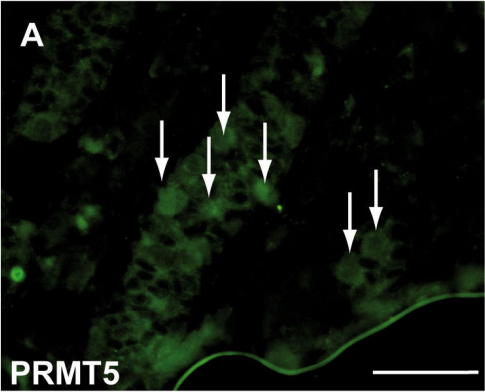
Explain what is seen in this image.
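Darker, weakly labelled areas separate the cell clusters. A bright green curved line runs along the lower edge of the tissue.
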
